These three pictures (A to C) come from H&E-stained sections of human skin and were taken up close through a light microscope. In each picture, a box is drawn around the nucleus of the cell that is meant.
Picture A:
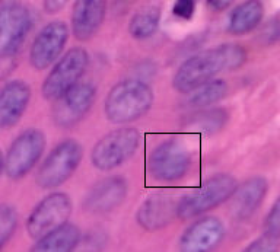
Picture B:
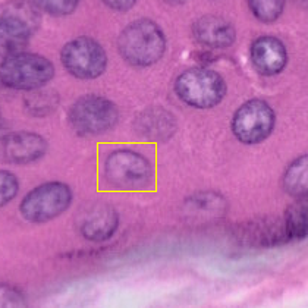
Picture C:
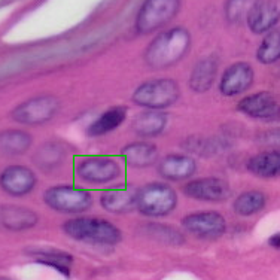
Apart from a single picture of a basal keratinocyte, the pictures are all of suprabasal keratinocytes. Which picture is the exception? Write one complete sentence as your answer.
Picture A shows the basal keratinocyte.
